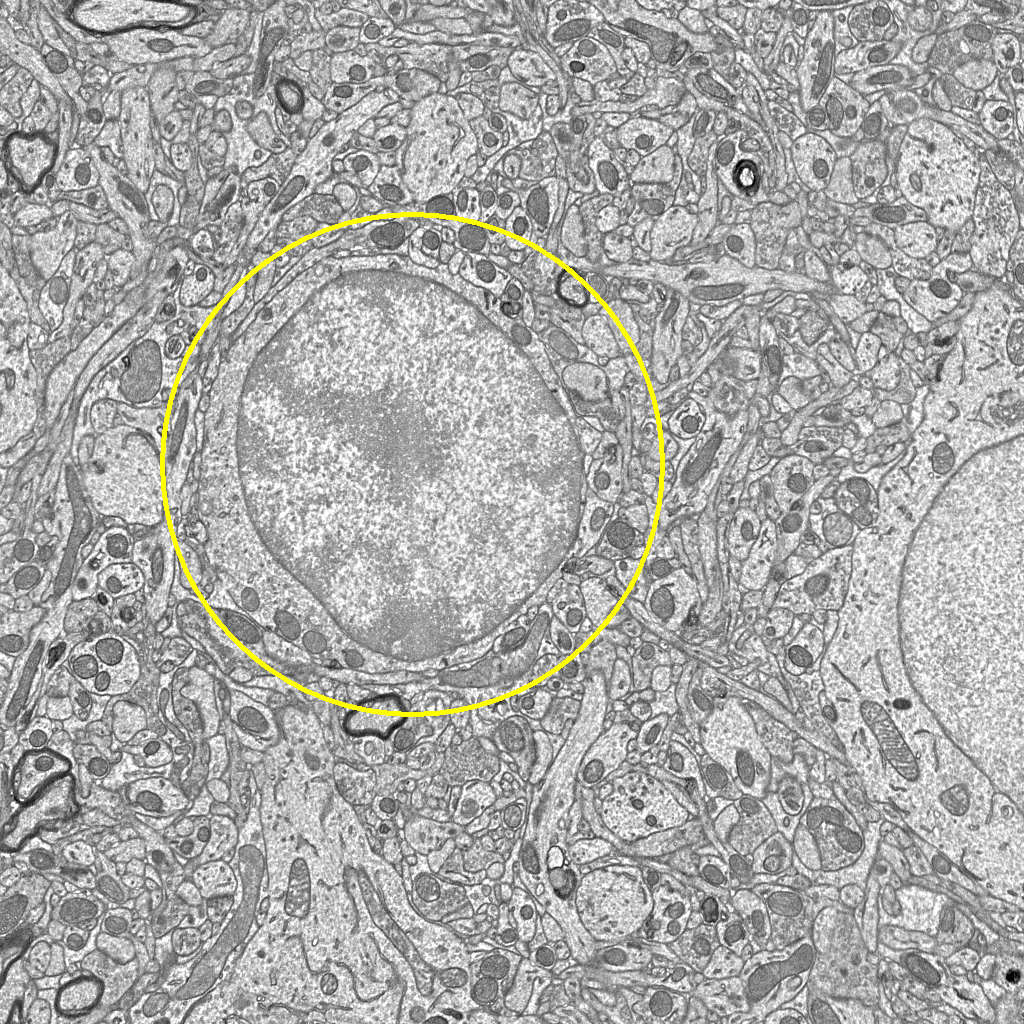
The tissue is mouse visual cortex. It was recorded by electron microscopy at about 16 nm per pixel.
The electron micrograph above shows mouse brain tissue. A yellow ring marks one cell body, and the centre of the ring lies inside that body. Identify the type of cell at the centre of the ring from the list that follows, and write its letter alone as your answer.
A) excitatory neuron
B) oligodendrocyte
B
